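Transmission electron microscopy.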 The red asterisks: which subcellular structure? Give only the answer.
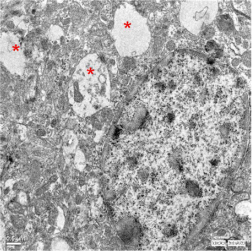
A: Autophagosomes.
